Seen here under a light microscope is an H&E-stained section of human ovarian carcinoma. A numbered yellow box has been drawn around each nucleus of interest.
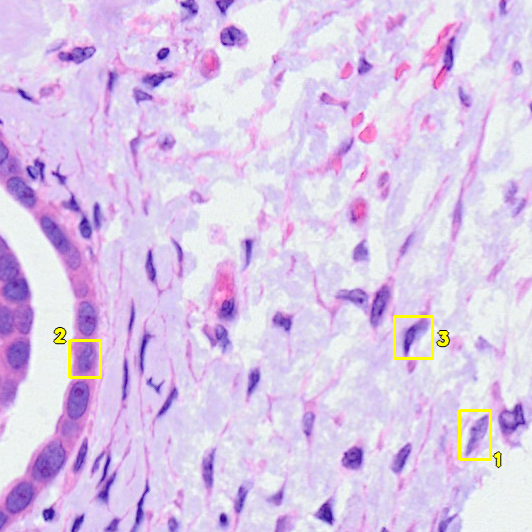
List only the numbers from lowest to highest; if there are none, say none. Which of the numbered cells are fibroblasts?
1, 3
